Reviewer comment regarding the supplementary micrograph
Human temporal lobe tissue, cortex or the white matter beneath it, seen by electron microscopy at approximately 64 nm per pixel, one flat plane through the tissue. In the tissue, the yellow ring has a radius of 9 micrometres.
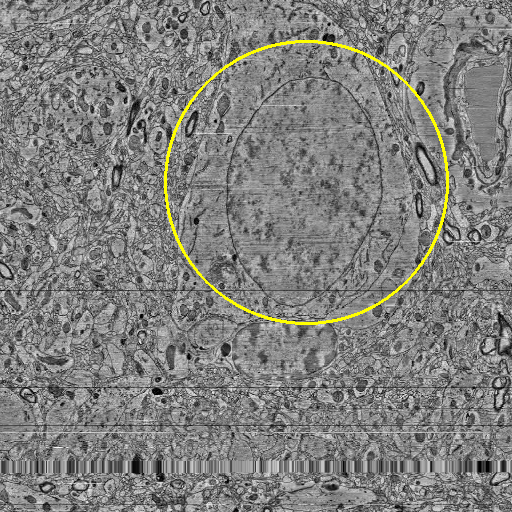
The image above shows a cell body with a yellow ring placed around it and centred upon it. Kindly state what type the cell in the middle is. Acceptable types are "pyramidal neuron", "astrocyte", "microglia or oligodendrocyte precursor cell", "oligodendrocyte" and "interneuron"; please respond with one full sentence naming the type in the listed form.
In the image above, the cell on which the yellow ring is centred is a pyramidal neuron.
